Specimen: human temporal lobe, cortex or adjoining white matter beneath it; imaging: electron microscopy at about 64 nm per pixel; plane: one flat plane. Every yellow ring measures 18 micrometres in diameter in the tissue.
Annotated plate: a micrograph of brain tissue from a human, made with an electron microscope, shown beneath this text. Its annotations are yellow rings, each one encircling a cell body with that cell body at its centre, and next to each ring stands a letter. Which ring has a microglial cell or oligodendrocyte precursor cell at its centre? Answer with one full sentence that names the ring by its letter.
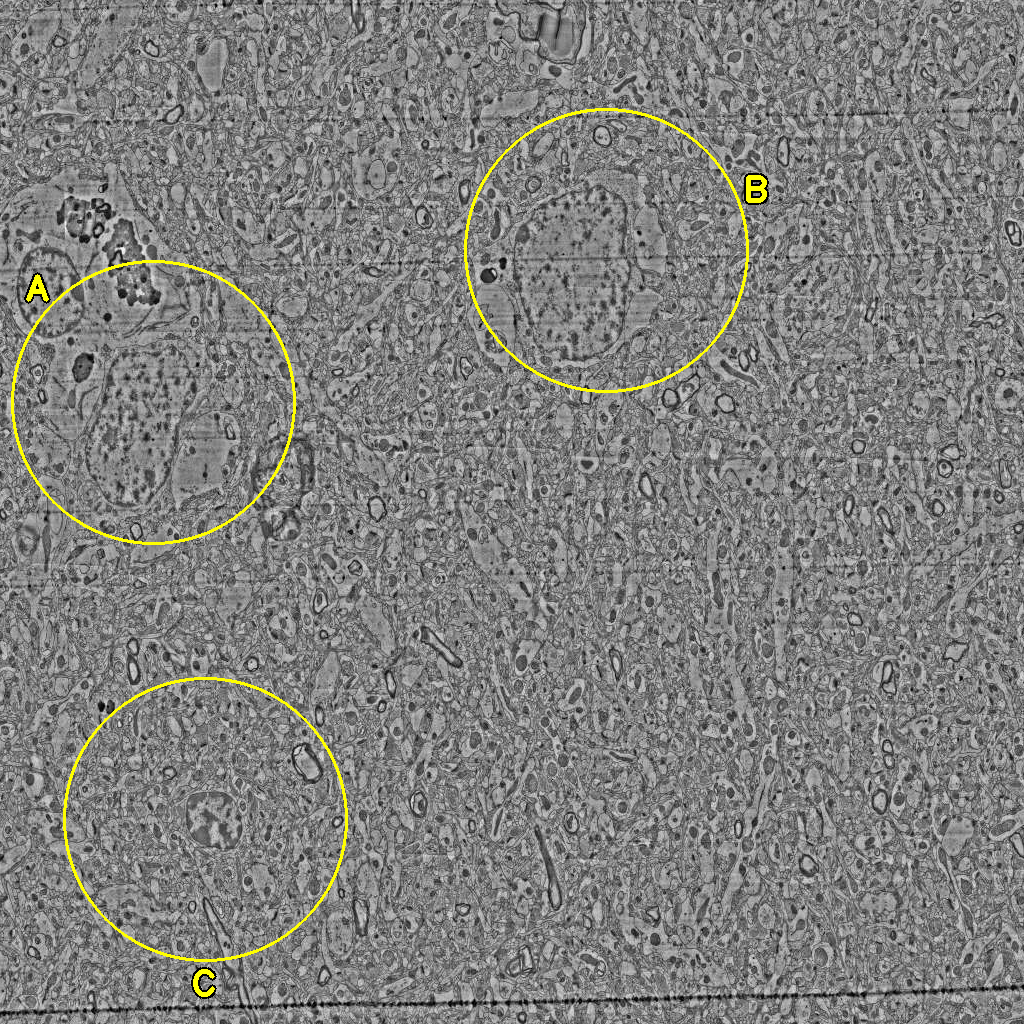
In the plate, ring C is the one centred on a cell of that kind.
